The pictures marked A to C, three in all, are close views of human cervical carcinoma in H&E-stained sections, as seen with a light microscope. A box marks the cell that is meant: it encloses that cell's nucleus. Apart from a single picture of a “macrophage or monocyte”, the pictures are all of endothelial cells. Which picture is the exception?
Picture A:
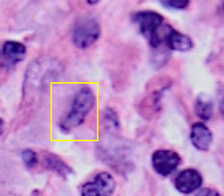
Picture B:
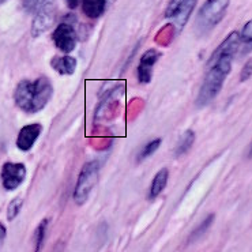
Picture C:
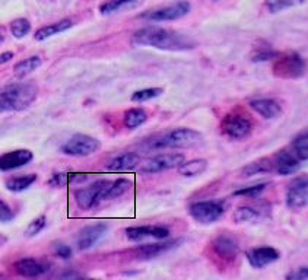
A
